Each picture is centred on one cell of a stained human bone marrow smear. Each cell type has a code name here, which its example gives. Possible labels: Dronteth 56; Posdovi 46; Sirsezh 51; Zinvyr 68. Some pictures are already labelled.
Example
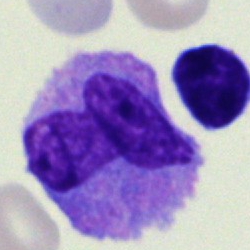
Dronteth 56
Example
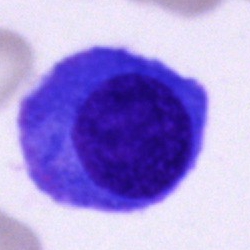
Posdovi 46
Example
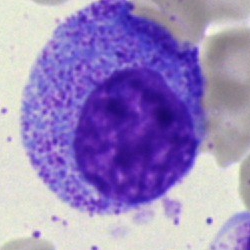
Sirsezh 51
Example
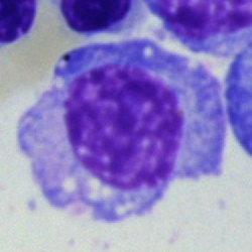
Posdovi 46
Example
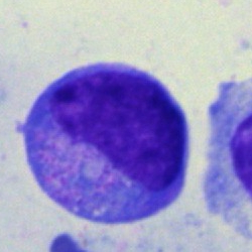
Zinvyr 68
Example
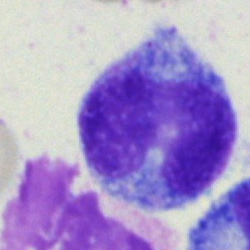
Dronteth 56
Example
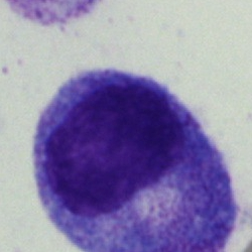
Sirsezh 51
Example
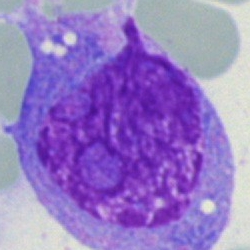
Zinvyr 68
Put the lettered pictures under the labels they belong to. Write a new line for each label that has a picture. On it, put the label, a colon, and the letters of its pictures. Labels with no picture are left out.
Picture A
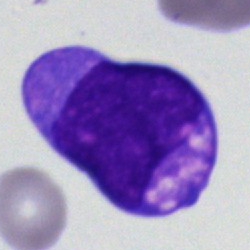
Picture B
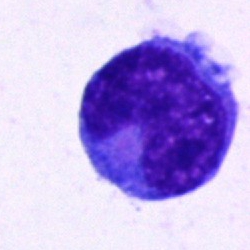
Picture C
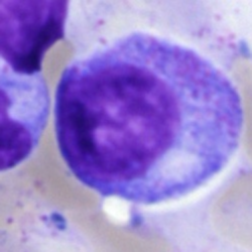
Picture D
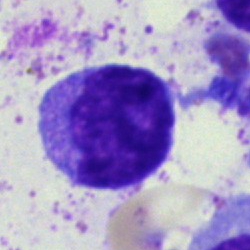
Dronteth 56: D
Sirsezh 51: C
Zinvyr 68: A, B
